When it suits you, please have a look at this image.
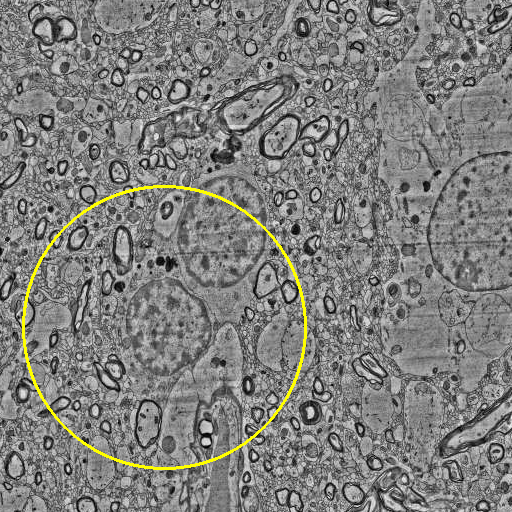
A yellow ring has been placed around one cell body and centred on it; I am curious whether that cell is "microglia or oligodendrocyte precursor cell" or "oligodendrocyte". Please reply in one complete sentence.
The ringed cell, an oligodendrocyte, has its body at the centre of the yellow ring.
